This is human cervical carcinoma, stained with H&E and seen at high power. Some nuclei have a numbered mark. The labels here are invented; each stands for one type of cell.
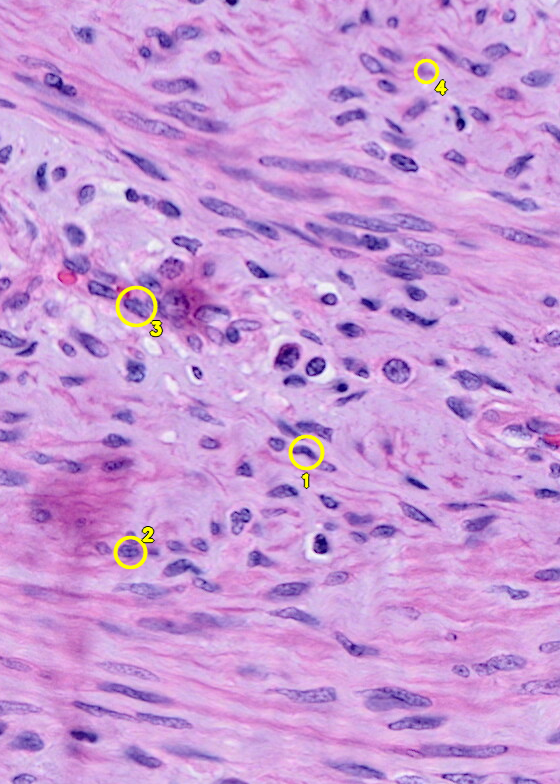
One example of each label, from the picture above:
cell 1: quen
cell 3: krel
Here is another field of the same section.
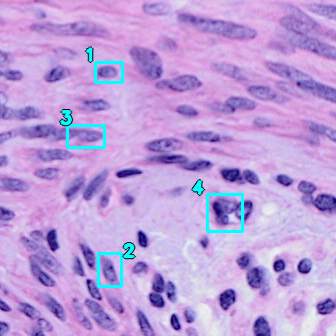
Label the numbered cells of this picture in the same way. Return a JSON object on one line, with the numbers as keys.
{"1": "quen", "2": "quen", "3": "quen", "4": "krel"}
